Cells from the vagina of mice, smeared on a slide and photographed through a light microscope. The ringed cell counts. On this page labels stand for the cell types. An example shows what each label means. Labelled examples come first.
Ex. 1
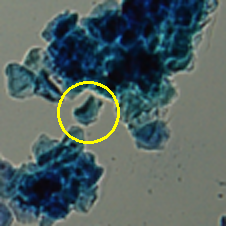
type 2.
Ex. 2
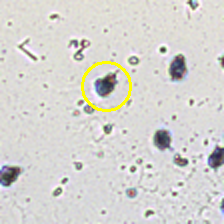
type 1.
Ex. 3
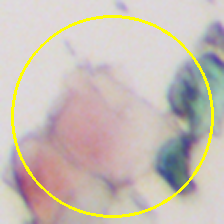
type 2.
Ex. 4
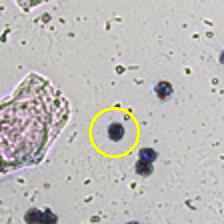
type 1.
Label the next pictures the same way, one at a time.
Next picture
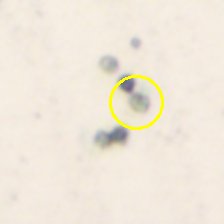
type 1.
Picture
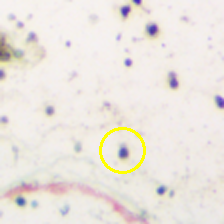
type 1.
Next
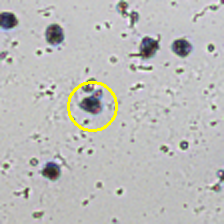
type 1.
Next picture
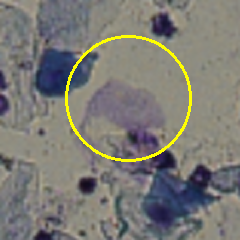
type 2.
